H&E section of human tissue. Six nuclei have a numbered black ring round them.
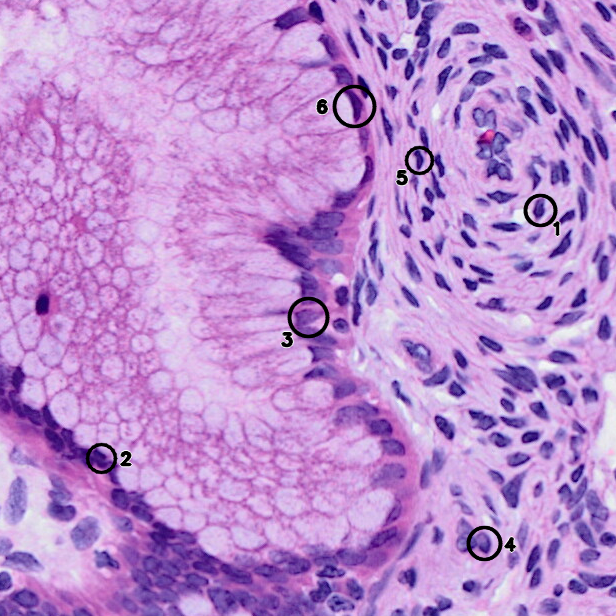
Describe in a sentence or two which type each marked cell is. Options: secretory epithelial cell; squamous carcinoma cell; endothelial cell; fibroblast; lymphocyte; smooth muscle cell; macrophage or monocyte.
Cells 1 and 5 are fibroblasts. Cells 2, 3 and 6 are secretory epithelial cells. Cell 4 is an endothelial cell.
